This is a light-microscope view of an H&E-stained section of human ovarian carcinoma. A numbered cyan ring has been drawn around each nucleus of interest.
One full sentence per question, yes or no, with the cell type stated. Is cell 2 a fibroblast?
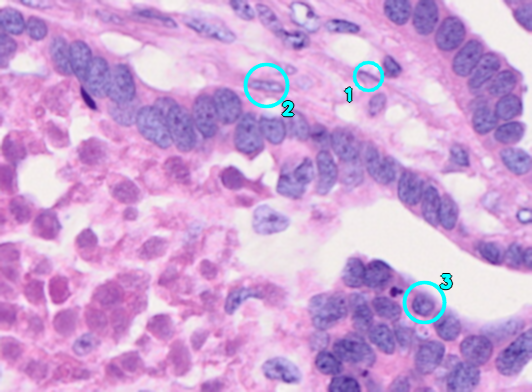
Yes, cell number 2 is classified as a fibroblast.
